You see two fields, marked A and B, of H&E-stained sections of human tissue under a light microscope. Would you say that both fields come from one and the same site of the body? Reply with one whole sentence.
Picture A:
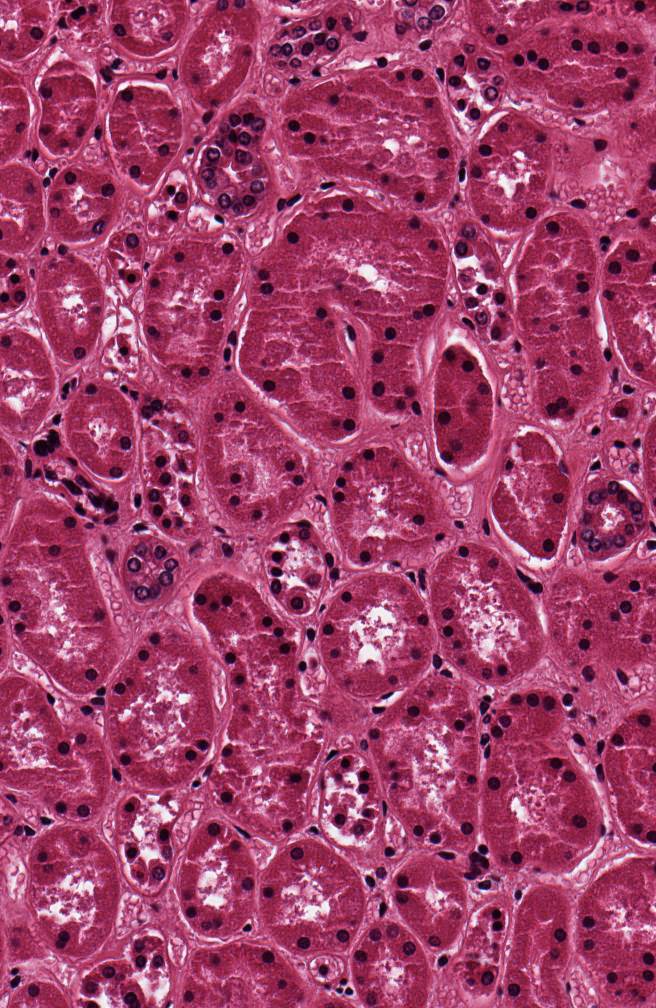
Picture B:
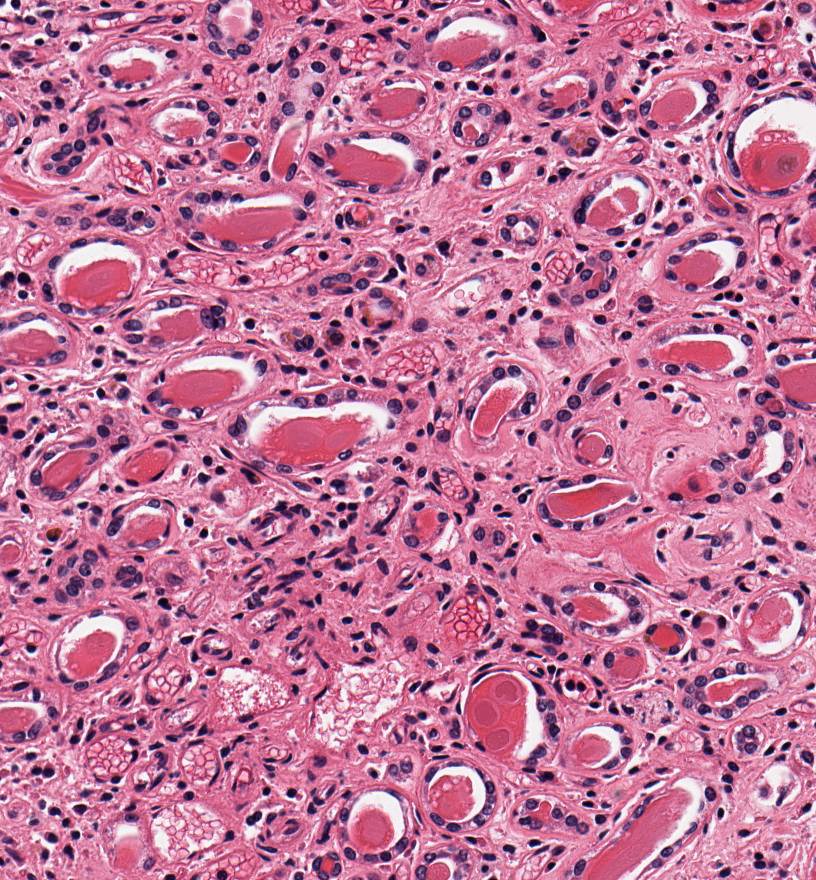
Yes, they come from the same site of the body: both come from the renal cortex.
